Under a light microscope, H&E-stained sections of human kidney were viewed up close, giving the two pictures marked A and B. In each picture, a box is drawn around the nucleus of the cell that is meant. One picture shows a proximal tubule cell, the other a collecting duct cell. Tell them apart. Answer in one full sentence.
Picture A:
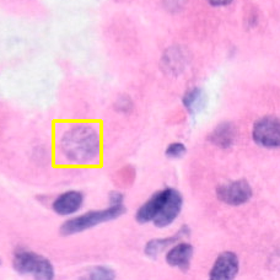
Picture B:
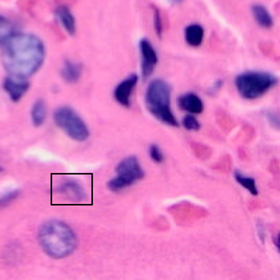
In picture A the cell is a proximal tubule cell; in picture B, a collecting duct cell.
